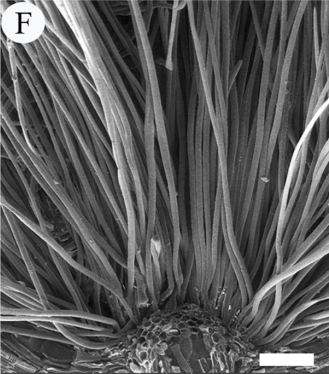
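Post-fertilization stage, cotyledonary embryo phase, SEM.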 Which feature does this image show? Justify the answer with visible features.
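Numerous cylindrical hairs. Many long thin cylindrical filaments arise from a small basal area. The filaments fan out upward.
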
